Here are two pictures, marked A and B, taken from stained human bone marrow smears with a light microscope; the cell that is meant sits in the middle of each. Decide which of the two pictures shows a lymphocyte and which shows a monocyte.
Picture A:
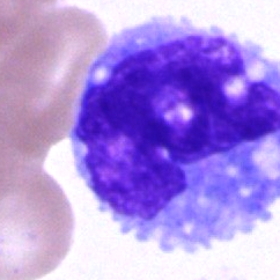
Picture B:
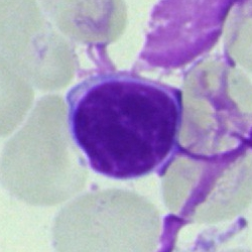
A: monocyte
B: lymphocyte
